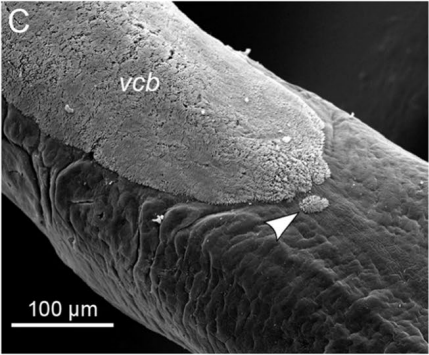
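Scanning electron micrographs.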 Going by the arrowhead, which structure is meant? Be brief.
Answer: a small detached area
